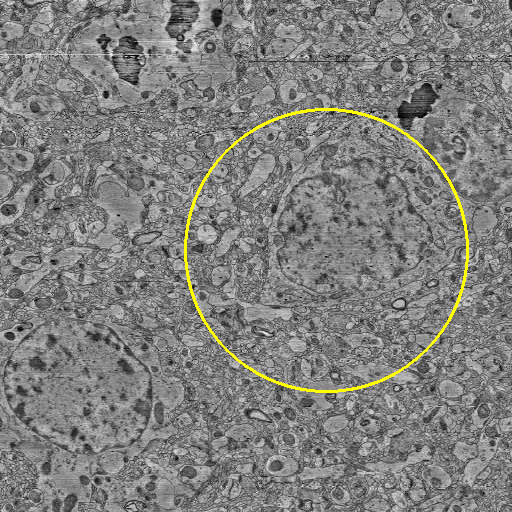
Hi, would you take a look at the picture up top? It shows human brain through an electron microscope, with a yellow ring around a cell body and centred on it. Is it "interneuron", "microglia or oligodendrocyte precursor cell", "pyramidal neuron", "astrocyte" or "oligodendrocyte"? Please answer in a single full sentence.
The best fit for the cell in the middle of the ring is an interneuron, I reckon.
